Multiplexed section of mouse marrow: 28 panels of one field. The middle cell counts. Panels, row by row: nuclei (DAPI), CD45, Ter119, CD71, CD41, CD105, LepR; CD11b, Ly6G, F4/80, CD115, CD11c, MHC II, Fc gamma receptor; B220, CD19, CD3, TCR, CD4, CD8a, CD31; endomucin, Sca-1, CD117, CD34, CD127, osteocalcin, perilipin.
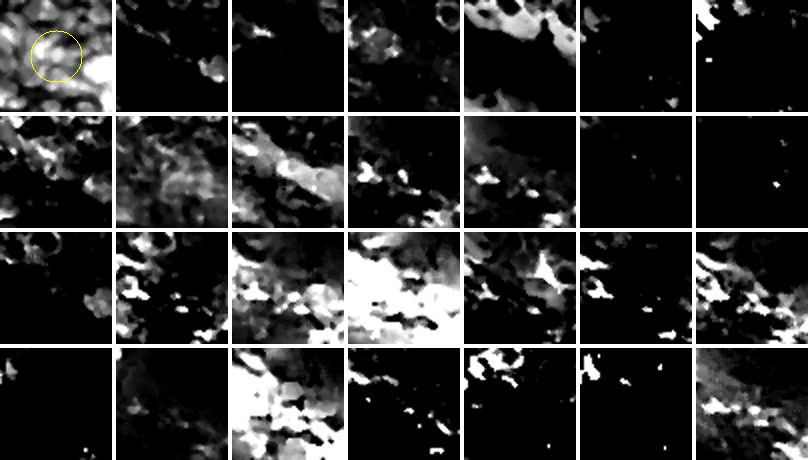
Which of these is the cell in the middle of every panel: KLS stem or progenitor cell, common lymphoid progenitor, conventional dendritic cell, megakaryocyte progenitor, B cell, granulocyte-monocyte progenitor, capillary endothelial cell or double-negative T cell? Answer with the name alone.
double-negative T cell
